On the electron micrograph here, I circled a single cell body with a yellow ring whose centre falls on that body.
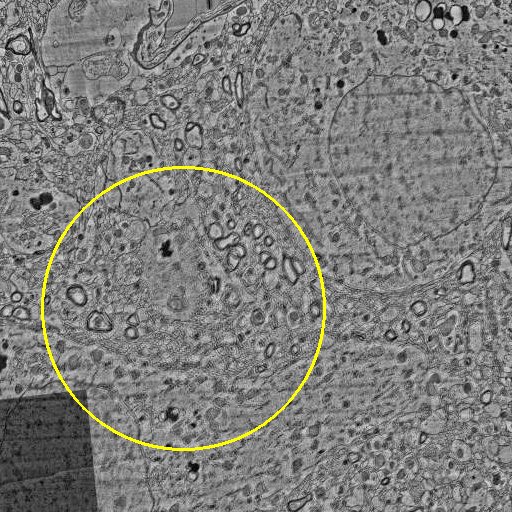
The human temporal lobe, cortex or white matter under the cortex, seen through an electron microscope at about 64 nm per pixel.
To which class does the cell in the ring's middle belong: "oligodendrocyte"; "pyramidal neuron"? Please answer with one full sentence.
In this picture, the cell body circled at the ring's centre belongs to an oligodendrocyte.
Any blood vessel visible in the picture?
No, none is visible.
